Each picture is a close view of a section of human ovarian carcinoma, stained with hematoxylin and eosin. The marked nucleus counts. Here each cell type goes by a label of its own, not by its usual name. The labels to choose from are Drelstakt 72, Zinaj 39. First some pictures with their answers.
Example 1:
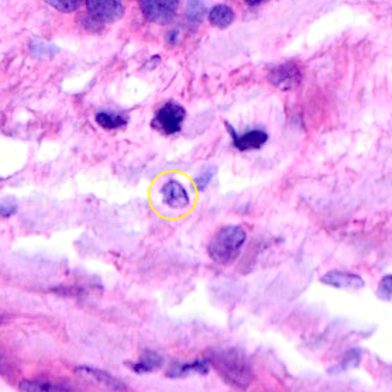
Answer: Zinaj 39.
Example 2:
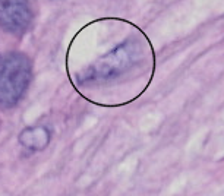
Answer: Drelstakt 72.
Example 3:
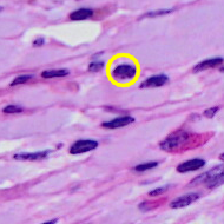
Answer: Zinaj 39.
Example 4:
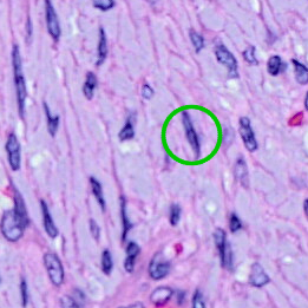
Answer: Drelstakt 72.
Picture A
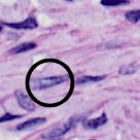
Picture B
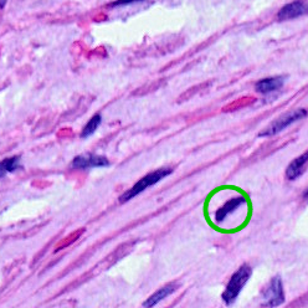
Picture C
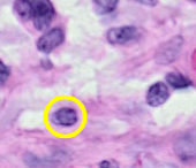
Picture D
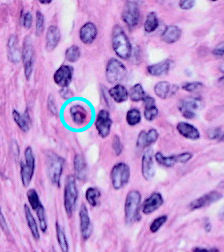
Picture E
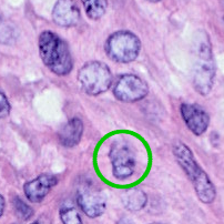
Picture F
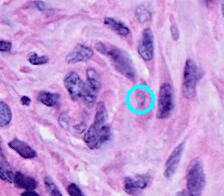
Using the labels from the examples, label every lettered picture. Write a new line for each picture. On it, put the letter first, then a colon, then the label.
A: Drelstakt 72.
B: Drelstakt 72.
C: Zinaj 39.
D: Zinaj 39.
E: Drelstakt 72.
F: Drelstakt 72.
